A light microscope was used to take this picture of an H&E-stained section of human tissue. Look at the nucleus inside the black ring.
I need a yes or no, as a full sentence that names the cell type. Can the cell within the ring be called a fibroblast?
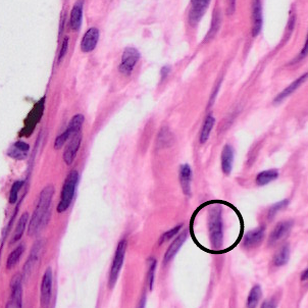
Yes, in this field of view, the cell within the ring is a fibroblast.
